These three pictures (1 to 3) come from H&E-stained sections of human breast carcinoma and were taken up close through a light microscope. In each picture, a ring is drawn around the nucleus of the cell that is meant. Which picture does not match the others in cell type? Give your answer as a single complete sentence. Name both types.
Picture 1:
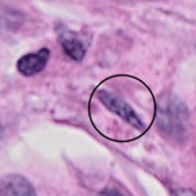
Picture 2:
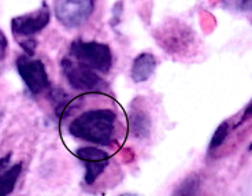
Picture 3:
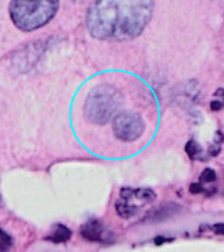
The different one is picture 1; it shows a fibroblast, whereas all the others show carcinoma cells.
